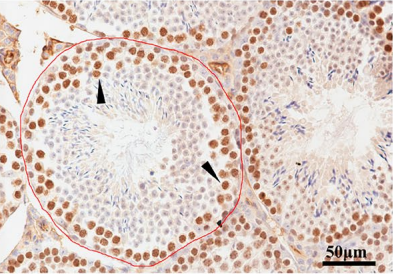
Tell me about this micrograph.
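A cross-section of a seminiferous tubule of the testis is outlined, with a stratified epithelium of germ cells around a central lumen filled with fine tail-like filaments. Near the tubule wall a continuous band of large round nuclei is stained dark brown; these are spermatocytes. Toward the lumen the cells have small, blue, elongated or round nuclei and remain unstained. Neighbouring tubules show the same brown peripheral band, separated by thin interstitial tissue.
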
